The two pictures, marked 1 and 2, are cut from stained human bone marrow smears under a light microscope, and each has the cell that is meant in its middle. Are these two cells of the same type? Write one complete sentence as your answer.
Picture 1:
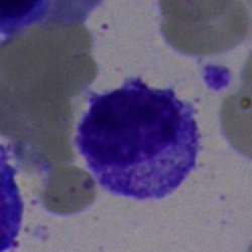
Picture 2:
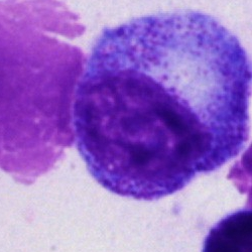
No. Picture 1 shows a myelocyte, but picture 2 shows a promyelocyte.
